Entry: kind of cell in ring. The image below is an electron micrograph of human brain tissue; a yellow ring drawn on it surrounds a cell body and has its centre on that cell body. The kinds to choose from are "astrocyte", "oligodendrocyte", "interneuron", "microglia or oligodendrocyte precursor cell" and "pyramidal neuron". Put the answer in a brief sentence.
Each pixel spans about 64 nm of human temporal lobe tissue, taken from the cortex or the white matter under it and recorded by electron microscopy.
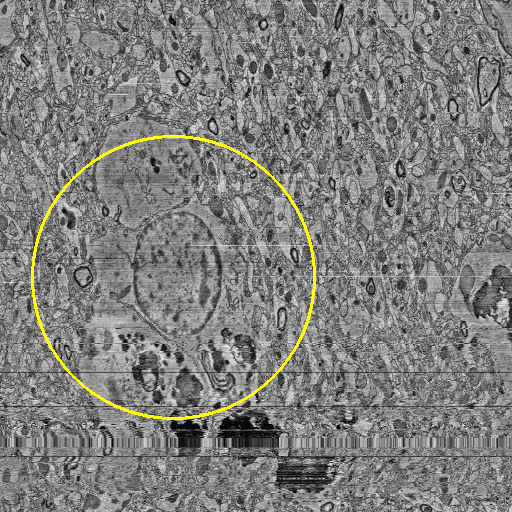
The ring has been drawn around an astrocyte.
